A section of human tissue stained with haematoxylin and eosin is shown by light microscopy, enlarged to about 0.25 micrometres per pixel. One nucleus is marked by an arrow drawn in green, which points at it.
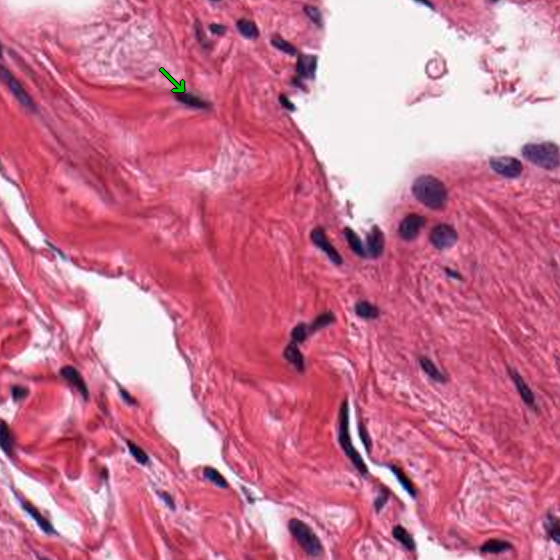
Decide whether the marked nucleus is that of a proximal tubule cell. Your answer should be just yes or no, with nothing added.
no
